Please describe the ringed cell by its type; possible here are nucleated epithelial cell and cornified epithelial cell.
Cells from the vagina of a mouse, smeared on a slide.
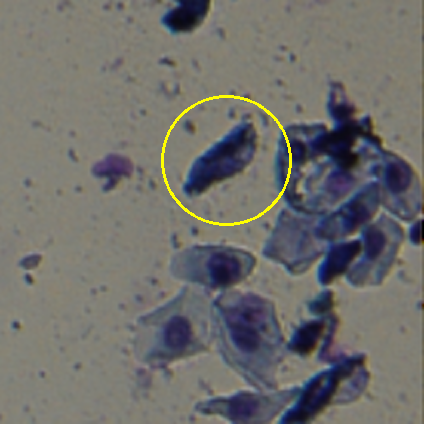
The yellow ring marks a cornified epithelial cell.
